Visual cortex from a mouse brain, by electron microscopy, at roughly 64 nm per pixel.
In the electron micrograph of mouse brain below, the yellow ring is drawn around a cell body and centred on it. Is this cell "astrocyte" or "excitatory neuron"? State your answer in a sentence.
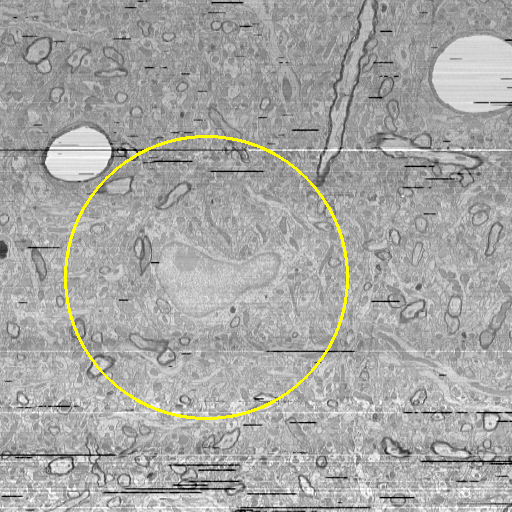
The cell in the middle of the ring is an astrocyte.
